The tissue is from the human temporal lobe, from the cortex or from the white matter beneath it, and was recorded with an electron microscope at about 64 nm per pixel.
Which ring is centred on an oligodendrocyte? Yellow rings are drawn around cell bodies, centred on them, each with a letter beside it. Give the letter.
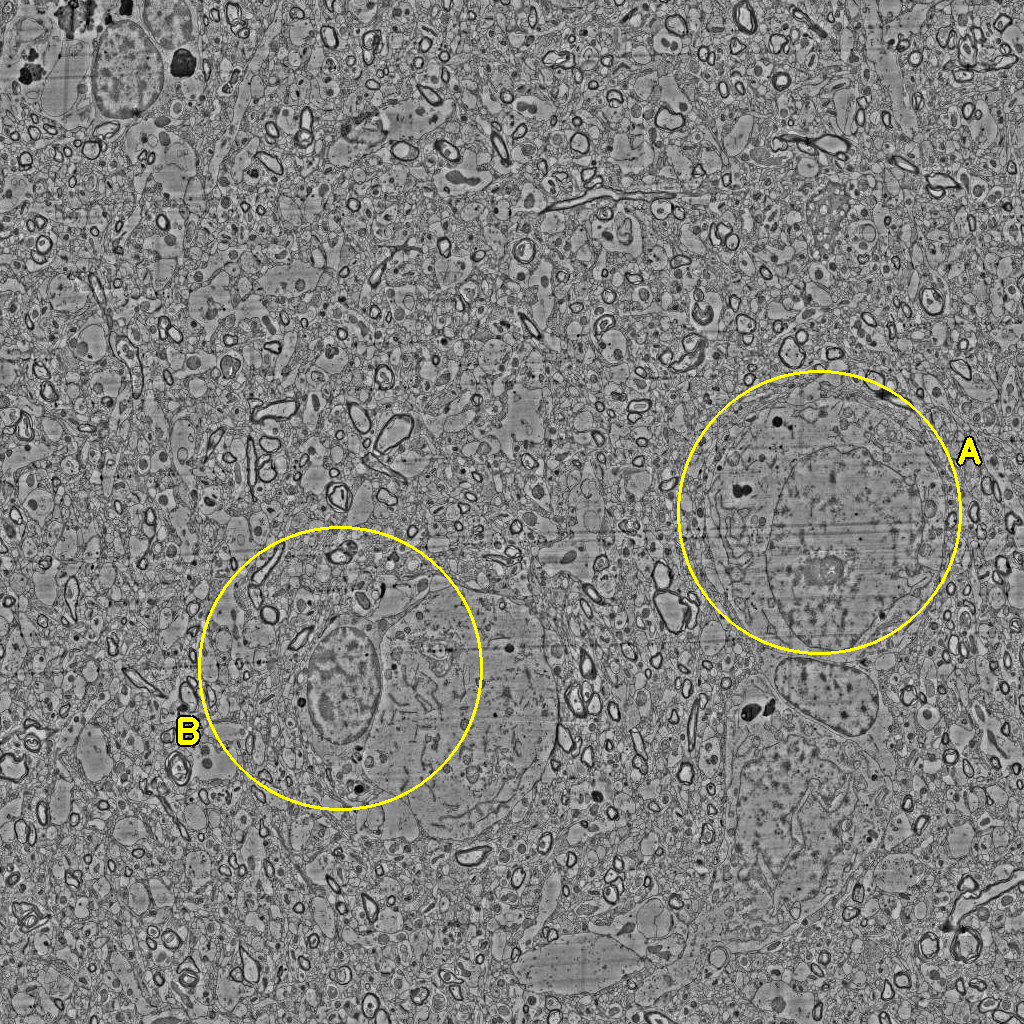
B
